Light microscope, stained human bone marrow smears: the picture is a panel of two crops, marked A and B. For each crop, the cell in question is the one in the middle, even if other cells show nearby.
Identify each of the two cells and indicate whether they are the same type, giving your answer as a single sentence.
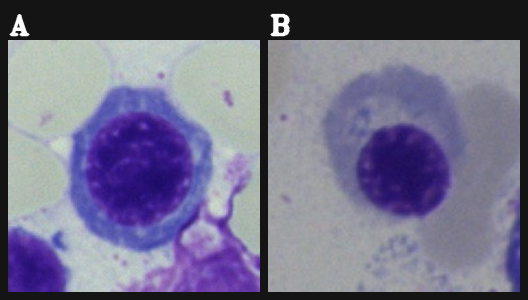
Yes, the two crops both show erythroblasts.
